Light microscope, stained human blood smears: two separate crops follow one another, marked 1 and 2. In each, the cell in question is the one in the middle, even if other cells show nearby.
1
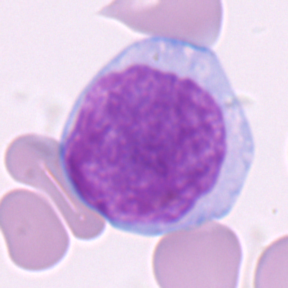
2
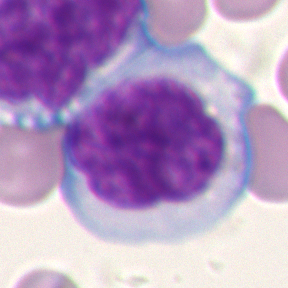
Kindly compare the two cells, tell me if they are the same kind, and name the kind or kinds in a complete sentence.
Yes, both crops show myeloblasts, with no exception.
